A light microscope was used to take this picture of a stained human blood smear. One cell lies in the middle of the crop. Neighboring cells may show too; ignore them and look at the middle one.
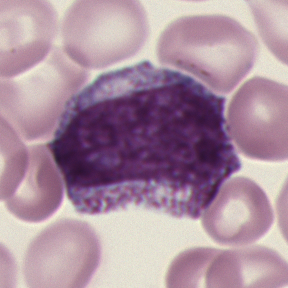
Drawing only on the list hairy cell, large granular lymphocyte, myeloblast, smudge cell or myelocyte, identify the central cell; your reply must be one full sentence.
Here the cell in the middle is a myelocyte.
